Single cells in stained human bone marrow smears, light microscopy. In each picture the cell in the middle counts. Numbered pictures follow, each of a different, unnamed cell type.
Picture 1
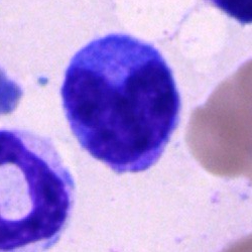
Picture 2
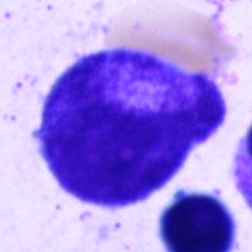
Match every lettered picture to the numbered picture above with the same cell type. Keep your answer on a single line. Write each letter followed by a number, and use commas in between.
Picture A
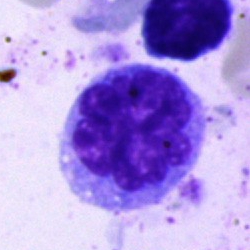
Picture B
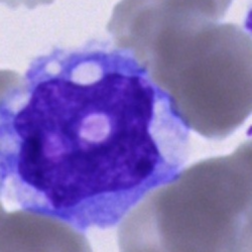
A 1, B 1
